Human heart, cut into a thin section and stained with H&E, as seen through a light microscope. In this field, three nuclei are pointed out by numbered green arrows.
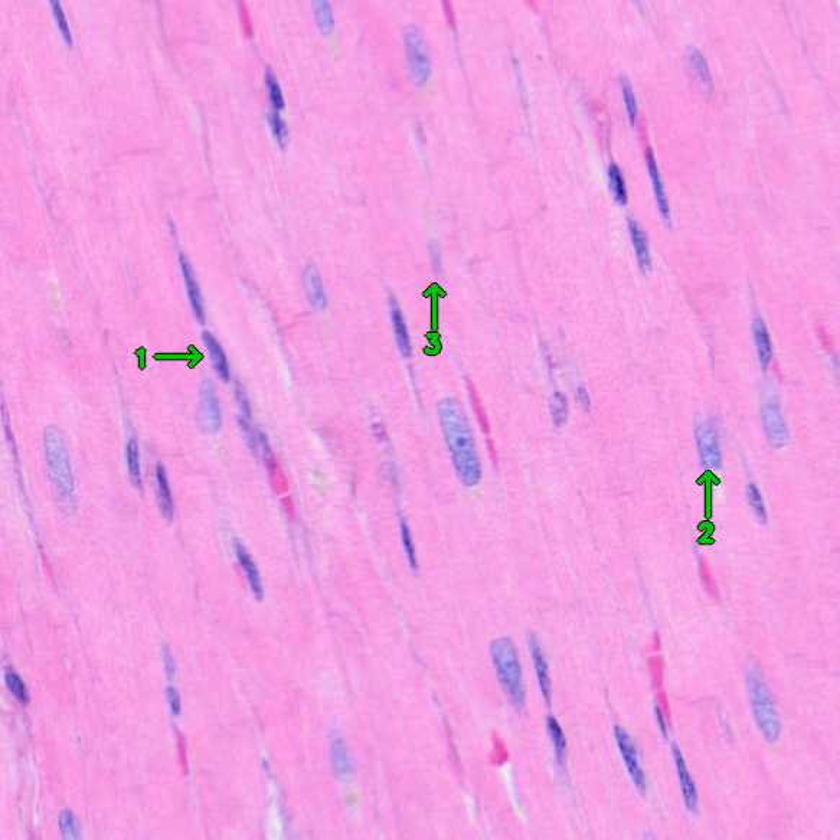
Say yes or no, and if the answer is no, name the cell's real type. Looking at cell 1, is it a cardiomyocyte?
No, it is a fibroblast.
